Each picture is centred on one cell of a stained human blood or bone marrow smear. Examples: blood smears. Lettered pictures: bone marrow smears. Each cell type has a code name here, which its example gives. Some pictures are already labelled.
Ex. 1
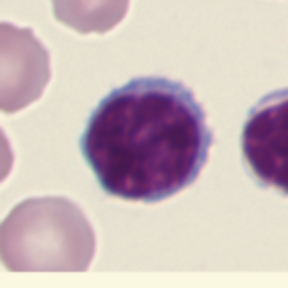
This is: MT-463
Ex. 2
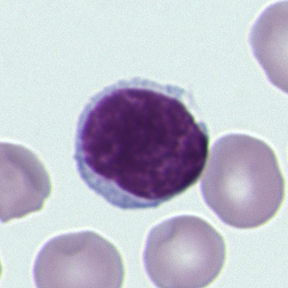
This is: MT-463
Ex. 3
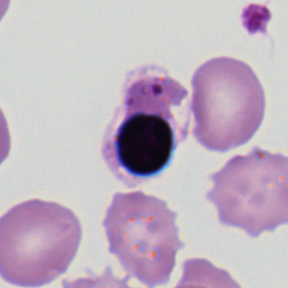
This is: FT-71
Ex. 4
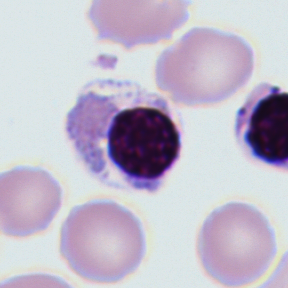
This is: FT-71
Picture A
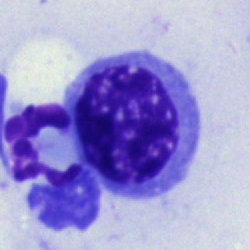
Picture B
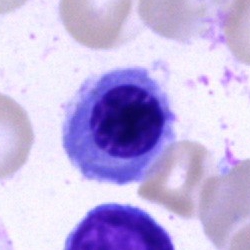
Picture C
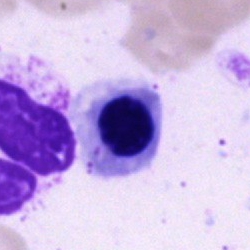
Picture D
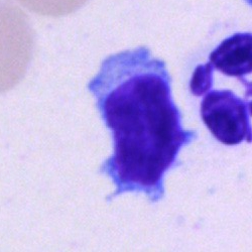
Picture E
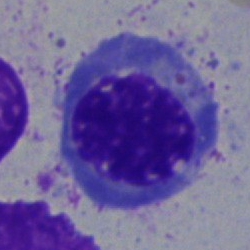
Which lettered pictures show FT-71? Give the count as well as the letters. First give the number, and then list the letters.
Count: 4 (A, B, C, E)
